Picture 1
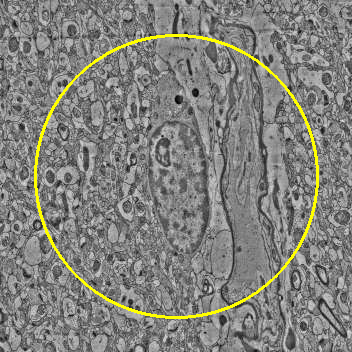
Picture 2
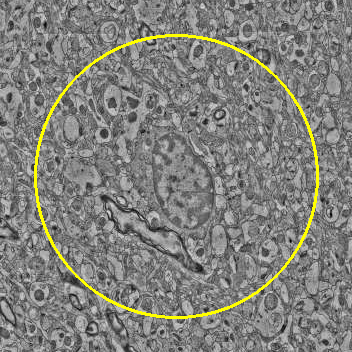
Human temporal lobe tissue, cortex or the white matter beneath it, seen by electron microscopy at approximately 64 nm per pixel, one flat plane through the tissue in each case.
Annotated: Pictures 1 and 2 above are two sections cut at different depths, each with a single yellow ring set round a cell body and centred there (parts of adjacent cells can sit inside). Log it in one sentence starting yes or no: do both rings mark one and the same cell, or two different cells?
No, the two yellow rings surround two different cells.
